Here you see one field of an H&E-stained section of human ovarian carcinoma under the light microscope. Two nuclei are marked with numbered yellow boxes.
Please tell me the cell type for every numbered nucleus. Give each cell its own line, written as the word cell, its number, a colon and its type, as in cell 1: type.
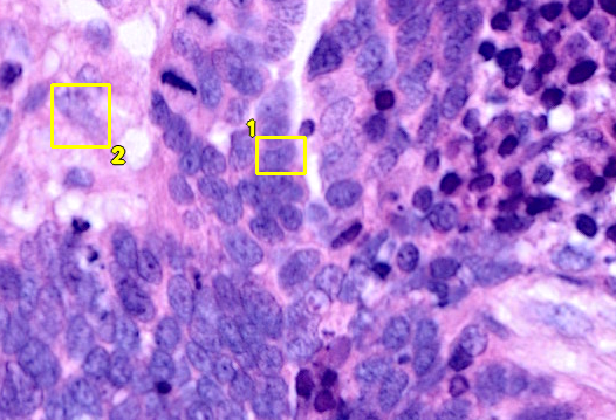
cell 1: carcinoma cell
cell 2: fibroblast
